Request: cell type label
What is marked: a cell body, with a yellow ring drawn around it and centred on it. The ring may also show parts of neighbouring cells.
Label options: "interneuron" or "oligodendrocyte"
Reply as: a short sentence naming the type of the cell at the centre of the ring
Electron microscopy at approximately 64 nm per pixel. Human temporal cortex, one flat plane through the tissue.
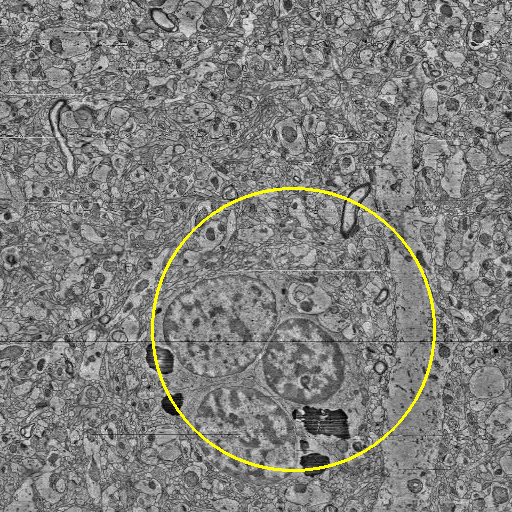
The marked cell body is that of an oligodendrocyte.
